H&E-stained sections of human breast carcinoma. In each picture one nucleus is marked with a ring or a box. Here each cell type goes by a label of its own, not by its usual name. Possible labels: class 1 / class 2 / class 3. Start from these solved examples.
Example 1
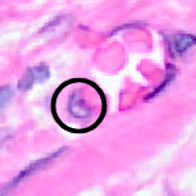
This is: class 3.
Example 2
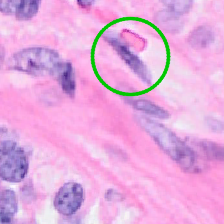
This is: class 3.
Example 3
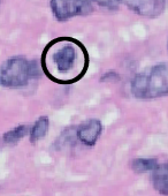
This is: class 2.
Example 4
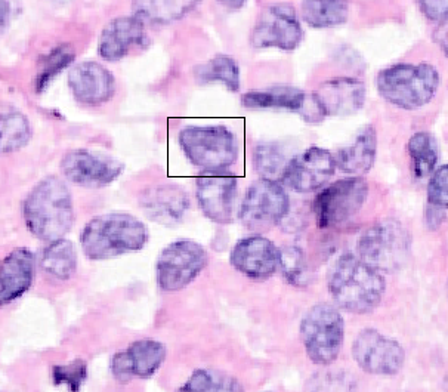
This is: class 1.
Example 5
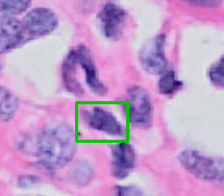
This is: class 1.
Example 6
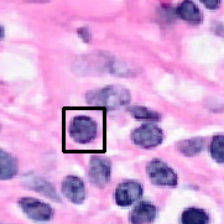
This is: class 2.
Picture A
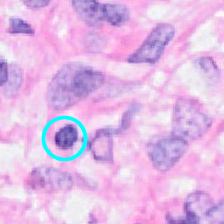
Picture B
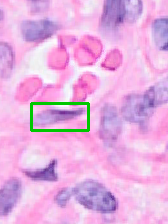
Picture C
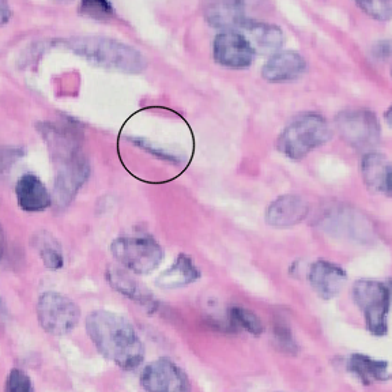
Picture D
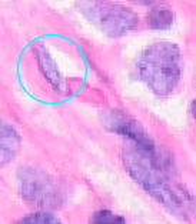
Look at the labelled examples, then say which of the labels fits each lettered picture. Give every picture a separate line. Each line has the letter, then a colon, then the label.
A: class 2.
B: class 3.
C: class 3.
D: class 3.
